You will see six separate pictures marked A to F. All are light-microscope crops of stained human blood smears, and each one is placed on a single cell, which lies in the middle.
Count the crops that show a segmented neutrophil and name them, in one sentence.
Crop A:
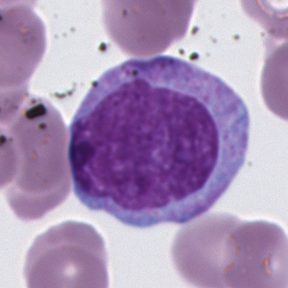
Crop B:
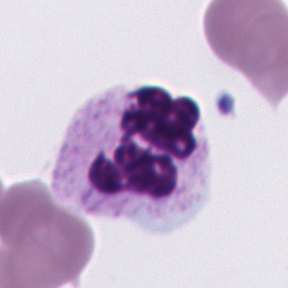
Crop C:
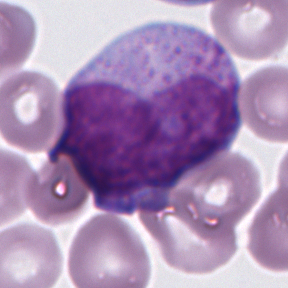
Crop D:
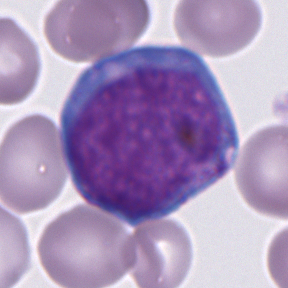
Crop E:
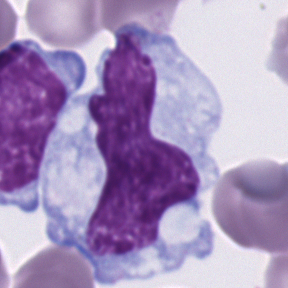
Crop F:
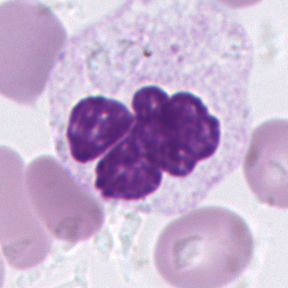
The two crops showing segmented neutrophils are B and F.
